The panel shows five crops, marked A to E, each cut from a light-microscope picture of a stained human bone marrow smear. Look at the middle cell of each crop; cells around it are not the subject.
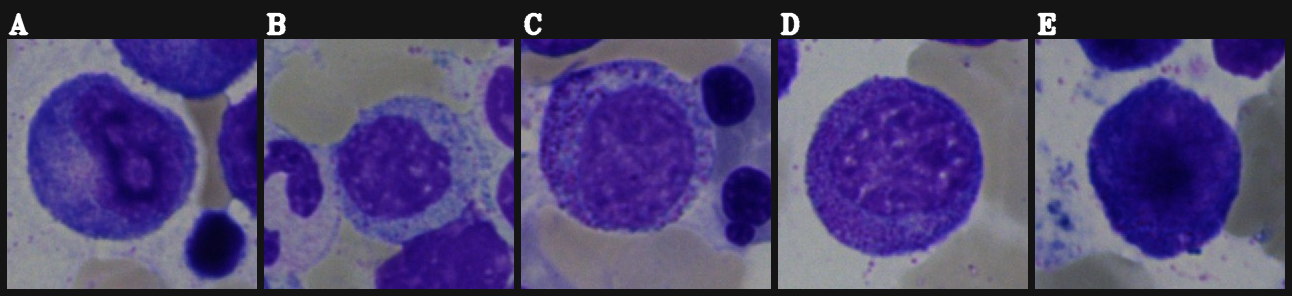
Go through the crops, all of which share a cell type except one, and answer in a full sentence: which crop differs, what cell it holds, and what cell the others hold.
Crop B is the different one, a myelocyte, while the rest are promyelocytes.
